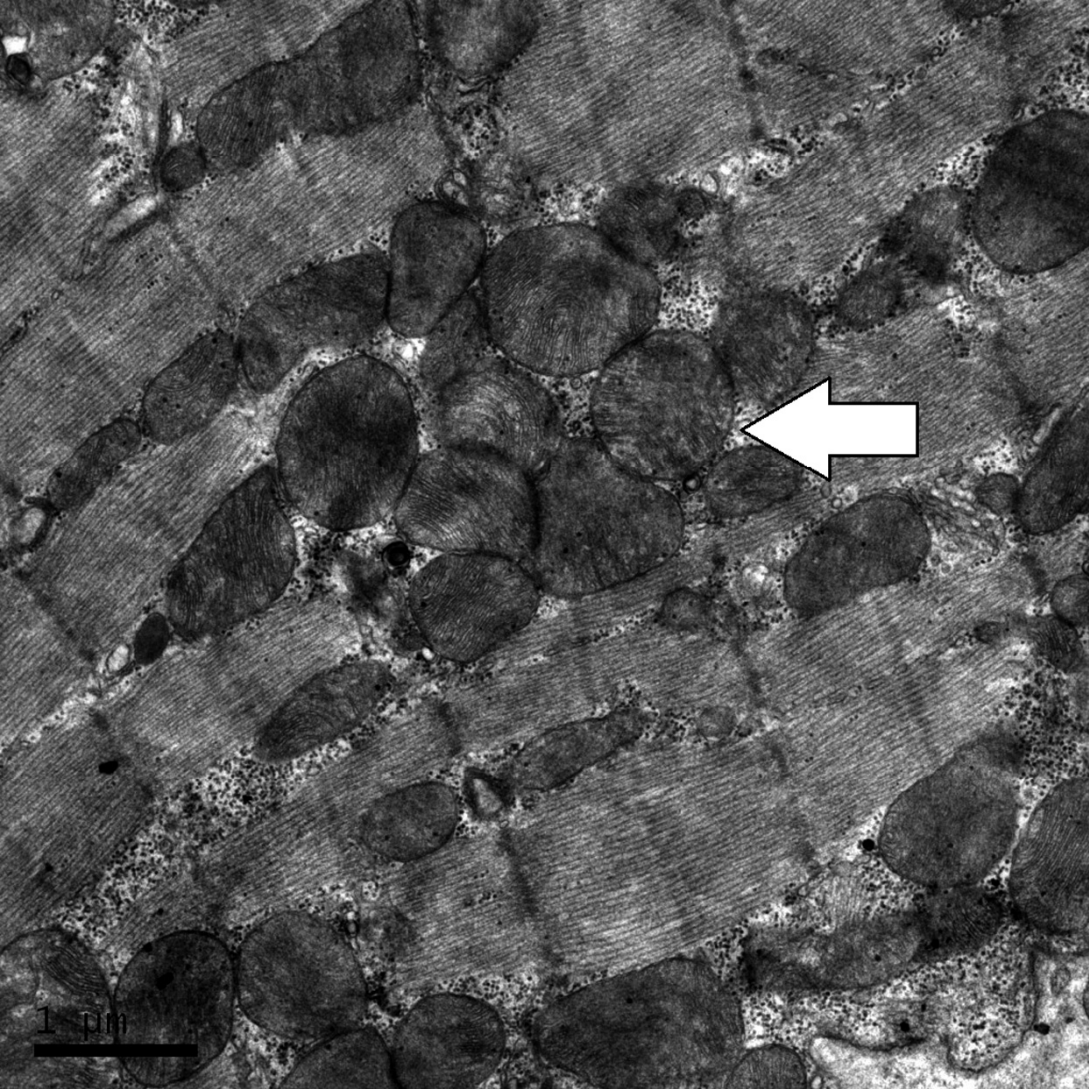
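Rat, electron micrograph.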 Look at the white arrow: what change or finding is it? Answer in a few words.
mitochondrial aggregation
